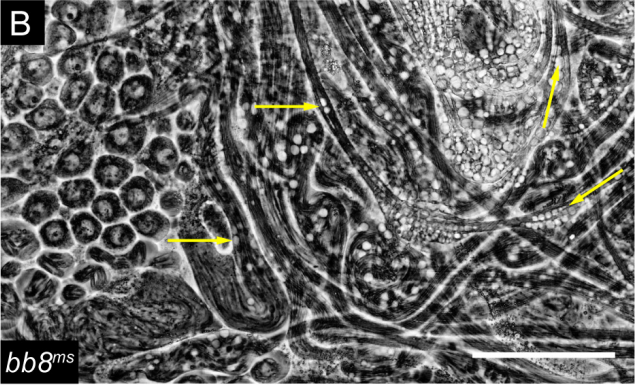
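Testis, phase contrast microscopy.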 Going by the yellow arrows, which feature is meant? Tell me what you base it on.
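The arrows point to round, bright, refractile bodies. These bodies lie inside long, slender bundles. Similar round bodies are crowded together in the upper right. On this evidence: large spherical vesicles.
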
